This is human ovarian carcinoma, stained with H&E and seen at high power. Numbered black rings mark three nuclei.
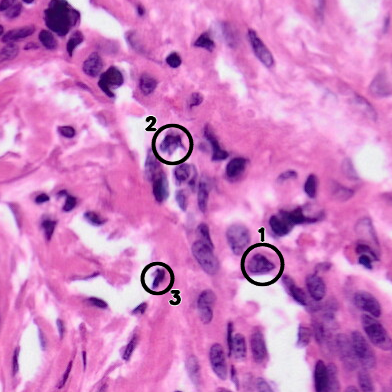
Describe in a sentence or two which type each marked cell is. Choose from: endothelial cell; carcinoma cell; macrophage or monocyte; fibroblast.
Cells 1 and 2 are macrophages or monocytes. Cell 3 is a fibroblast.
